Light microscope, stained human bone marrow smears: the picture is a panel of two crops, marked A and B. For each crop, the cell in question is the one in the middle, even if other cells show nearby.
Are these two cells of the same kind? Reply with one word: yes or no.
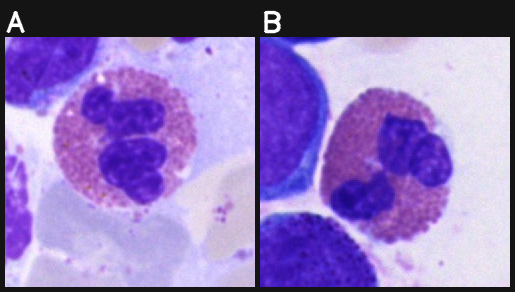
yes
